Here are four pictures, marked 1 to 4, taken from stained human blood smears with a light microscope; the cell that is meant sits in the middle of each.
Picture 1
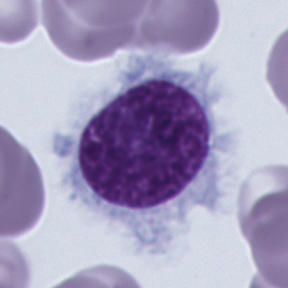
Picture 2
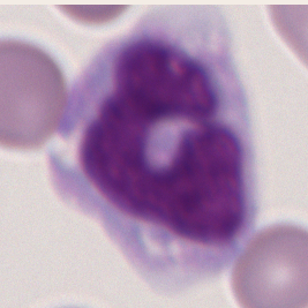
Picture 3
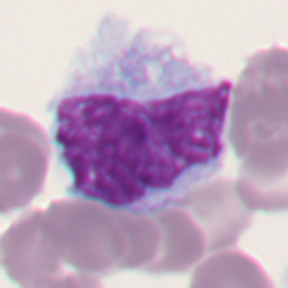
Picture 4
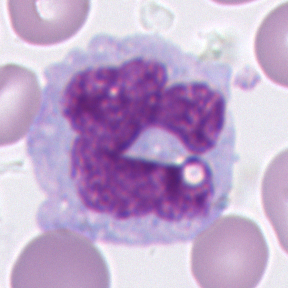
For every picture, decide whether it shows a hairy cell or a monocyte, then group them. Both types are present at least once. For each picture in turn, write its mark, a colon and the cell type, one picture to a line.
1: hairy cell
2: monocyte
3: monocyte
4: monocyte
